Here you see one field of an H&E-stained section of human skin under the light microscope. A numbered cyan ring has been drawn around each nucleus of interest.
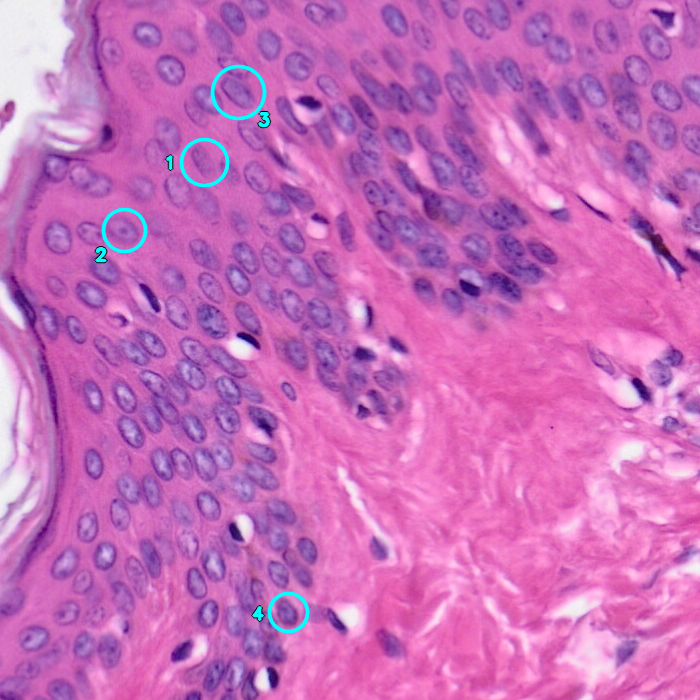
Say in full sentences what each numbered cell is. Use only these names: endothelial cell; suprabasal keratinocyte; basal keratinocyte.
Cells 1, 2 and 3 are suprabasal keratinocytes. Cell 4 is a basal keratinocyte.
